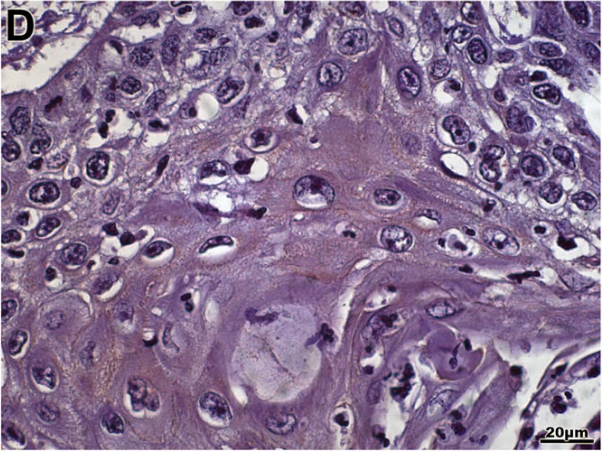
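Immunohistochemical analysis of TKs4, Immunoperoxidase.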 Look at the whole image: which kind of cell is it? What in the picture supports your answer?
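Tumour parenchyma cells. Large polygonal cells with enlarged, irregular nuclei. Prominent nucleoli in many nuclei. Cells vary in size and nuclear shape.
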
